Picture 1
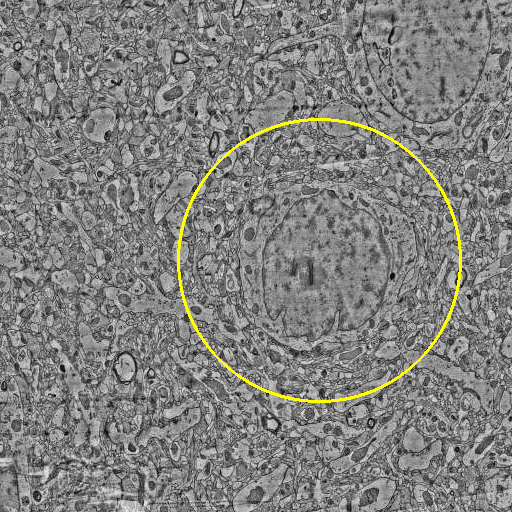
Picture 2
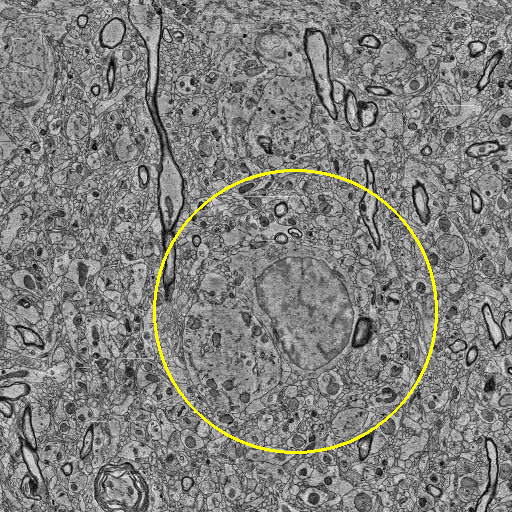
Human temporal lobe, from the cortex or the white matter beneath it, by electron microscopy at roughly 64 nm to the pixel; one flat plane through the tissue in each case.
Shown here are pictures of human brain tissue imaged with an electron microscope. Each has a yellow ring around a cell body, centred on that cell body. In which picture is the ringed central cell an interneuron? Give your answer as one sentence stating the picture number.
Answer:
My answer is picture 1, where the ringed cell at the centre is the one sought.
